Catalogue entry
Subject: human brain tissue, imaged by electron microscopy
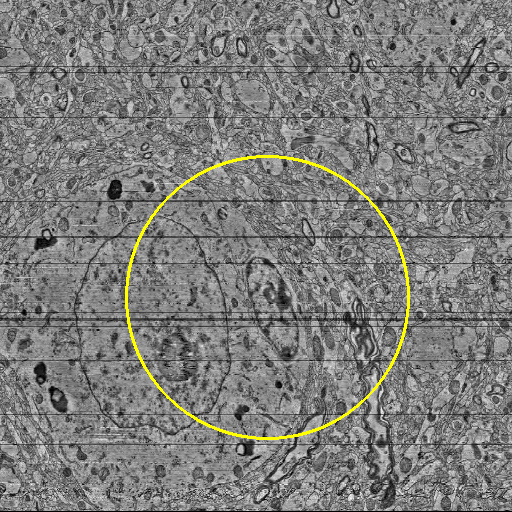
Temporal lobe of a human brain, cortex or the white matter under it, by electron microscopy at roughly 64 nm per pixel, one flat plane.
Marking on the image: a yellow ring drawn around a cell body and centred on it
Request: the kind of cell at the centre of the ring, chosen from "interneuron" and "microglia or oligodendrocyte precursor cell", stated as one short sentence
The ring has a microglial cell or oligodendrocyte precursor cell at its centre.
